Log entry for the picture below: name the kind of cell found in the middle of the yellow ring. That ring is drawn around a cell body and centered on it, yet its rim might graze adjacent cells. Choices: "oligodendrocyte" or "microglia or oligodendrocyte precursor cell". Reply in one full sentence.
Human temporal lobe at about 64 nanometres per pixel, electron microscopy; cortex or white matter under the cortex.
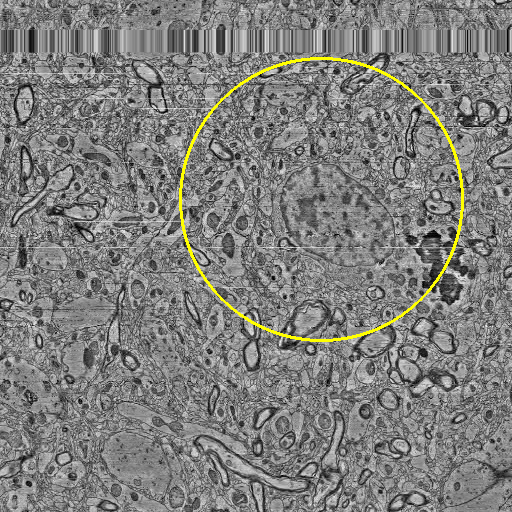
The cell in the middle of the yellow ring in this picture is an oligodendrocyte.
